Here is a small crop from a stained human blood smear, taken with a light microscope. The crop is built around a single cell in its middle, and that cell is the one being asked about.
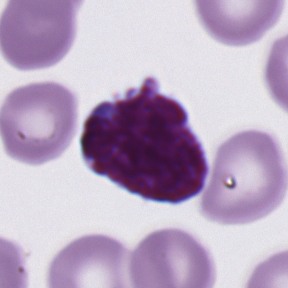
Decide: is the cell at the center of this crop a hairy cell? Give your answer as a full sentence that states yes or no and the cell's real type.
No, the middle cell is classified as a myeloblast instead of a hairy cell.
